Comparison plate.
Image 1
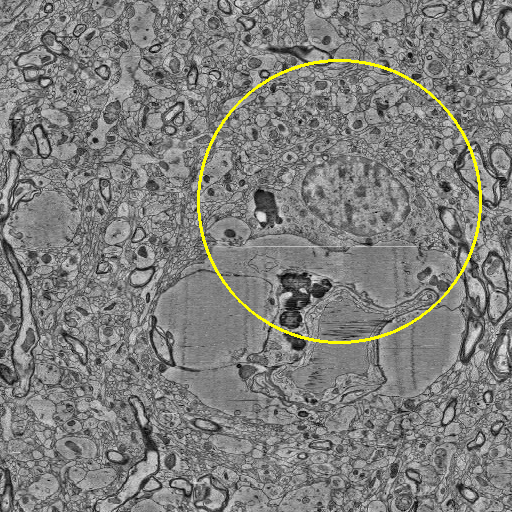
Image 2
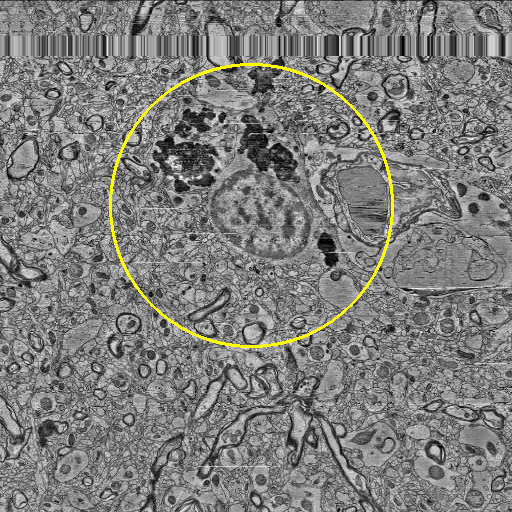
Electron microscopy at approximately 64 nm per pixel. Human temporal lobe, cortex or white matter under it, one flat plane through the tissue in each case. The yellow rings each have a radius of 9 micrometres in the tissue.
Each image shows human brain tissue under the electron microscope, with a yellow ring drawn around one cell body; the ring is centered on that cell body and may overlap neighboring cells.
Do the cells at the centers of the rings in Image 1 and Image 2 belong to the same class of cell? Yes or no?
yes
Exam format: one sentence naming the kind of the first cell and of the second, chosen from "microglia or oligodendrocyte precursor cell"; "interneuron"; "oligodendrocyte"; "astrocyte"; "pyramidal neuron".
Each of the two rings is centred on an oligodendrocyte.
